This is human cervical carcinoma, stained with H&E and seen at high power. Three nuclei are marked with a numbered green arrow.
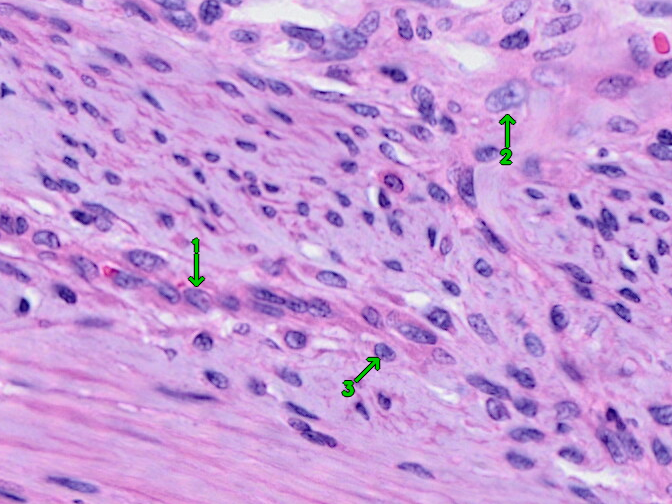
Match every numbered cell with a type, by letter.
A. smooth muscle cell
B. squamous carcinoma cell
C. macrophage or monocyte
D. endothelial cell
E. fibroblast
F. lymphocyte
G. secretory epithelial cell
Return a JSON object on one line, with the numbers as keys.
{"1": "D", "2": "D", "3": "A"}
